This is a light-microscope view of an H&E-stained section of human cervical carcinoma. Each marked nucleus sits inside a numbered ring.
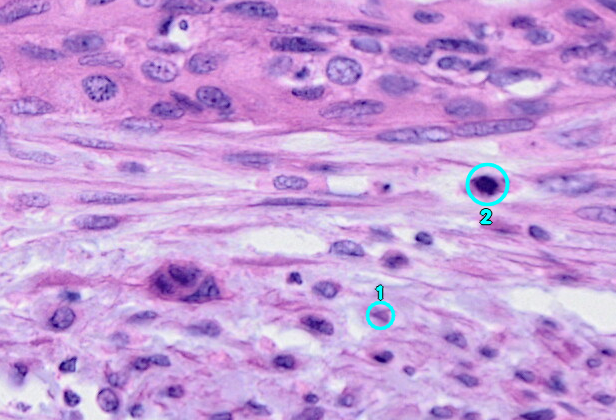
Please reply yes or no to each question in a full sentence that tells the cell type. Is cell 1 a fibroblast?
Yes, among the marked cells, the one with number 1 is a fibroblast.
